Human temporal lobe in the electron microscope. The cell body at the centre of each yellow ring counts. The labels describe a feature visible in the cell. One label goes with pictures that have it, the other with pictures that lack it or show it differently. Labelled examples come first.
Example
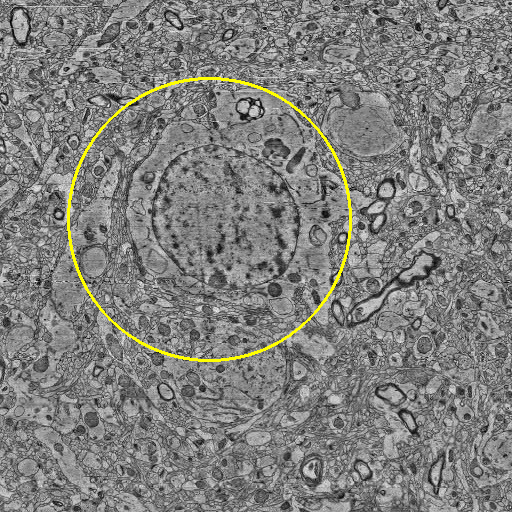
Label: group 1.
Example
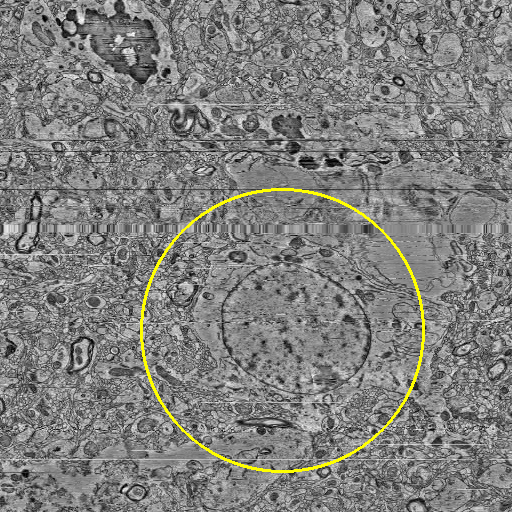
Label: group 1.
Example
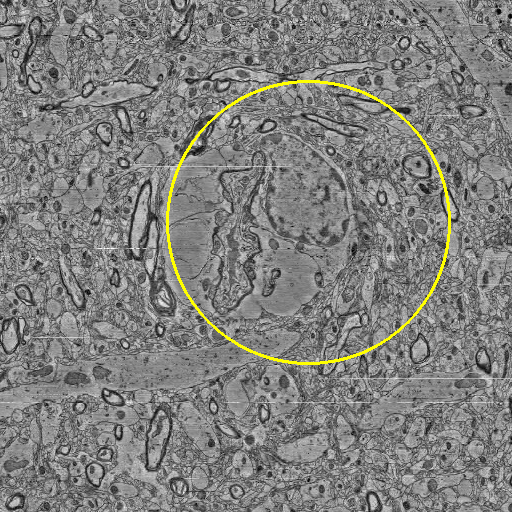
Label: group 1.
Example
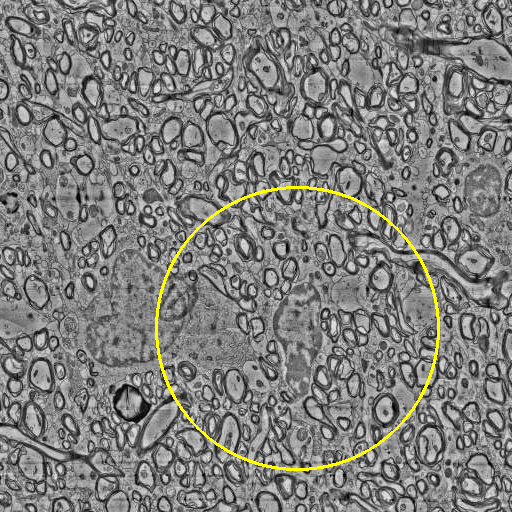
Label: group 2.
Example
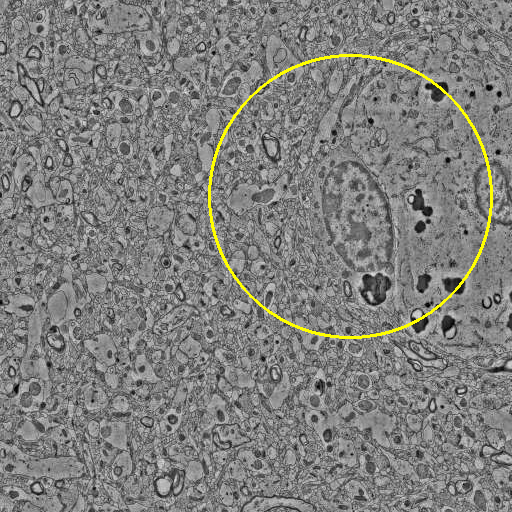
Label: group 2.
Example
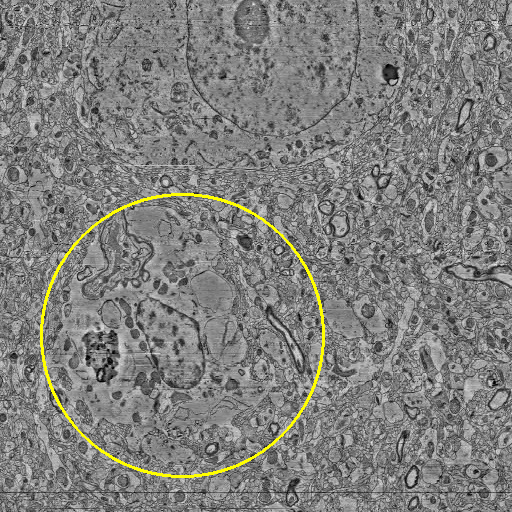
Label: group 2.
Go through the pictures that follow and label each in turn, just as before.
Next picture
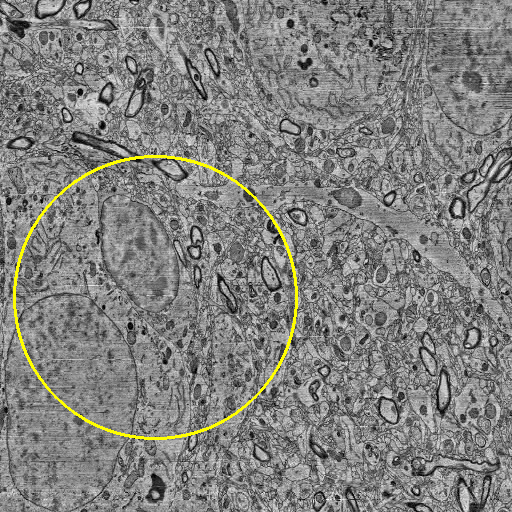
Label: group 2.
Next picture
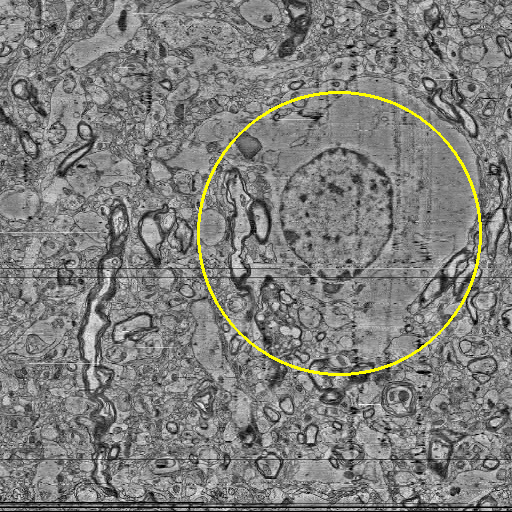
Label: group 1.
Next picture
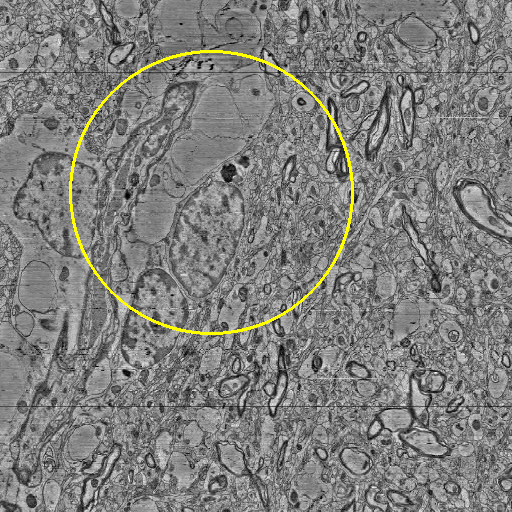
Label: group 2.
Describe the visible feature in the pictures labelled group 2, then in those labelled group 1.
In group 2: clearly elongated nuclei. In group 1: round or nearly round nuclei.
